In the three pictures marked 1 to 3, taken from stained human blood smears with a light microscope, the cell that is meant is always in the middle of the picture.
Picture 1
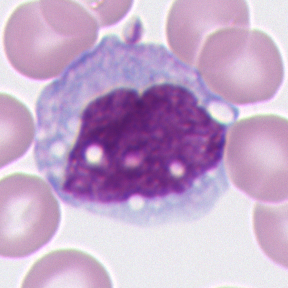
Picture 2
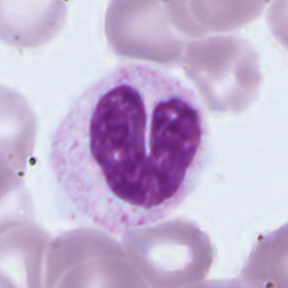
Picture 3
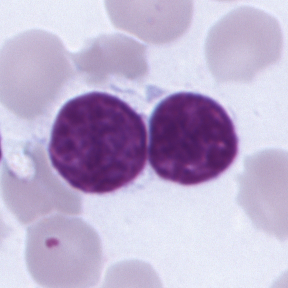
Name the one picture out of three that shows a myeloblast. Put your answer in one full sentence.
It is picture 3 that shows the myeloblast.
